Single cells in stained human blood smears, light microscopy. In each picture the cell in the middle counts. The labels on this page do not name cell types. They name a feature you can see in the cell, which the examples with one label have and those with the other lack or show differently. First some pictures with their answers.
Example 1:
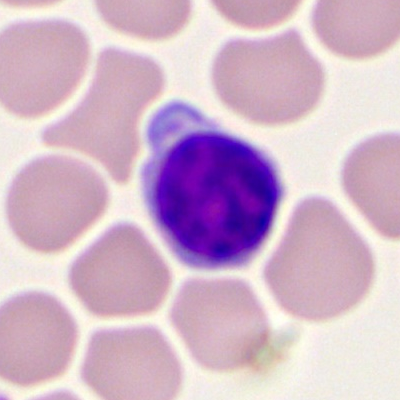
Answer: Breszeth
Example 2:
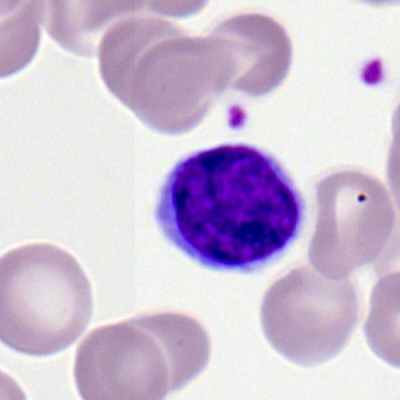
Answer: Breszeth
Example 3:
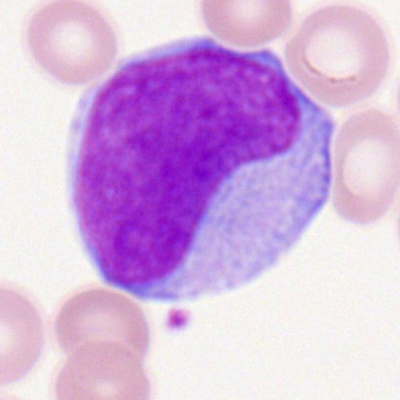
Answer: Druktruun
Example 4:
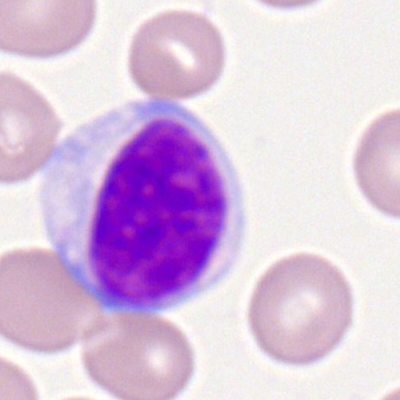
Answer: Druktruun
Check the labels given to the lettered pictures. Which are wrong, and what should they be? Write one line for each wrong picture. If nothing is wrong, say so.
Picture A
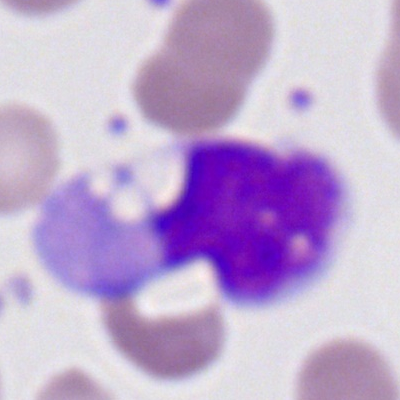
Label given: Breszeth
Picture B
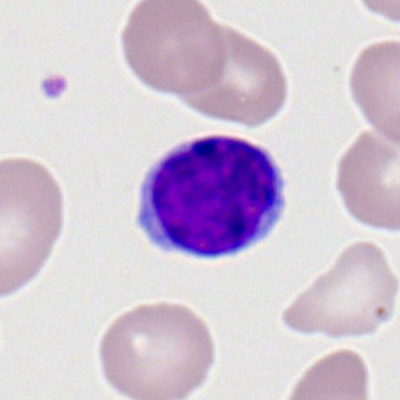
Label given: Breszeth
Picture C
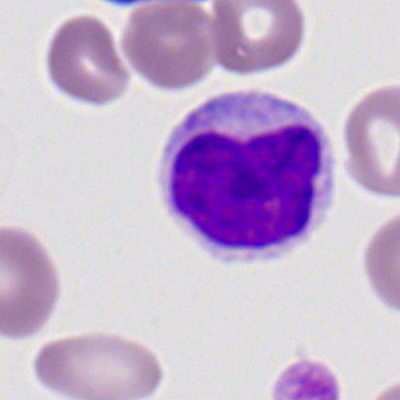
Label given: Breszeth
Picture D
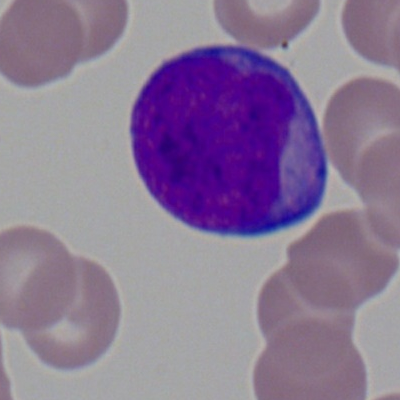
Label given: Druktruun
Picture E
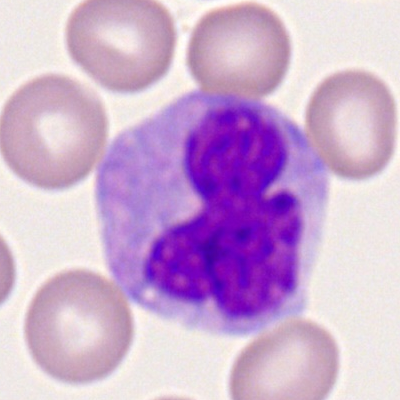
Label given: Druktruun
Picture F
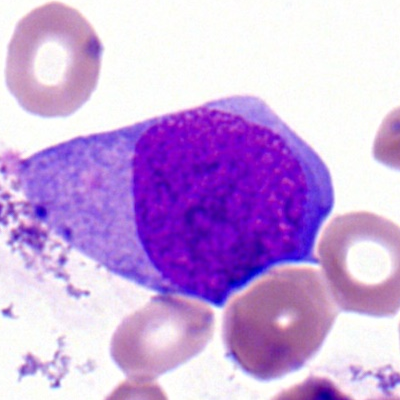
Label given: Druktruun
A: change Breszeth to Druktruun
D: change Druktruun to Breszeth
